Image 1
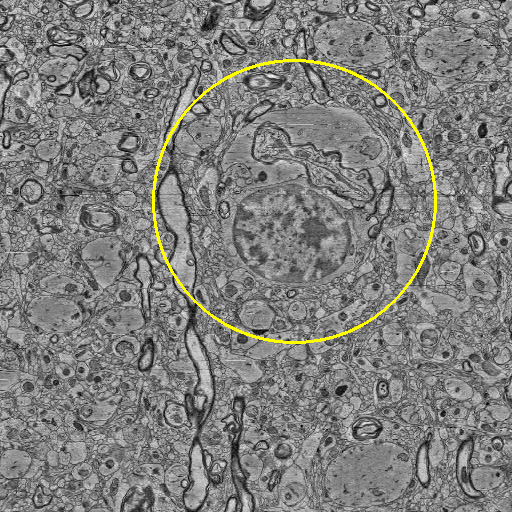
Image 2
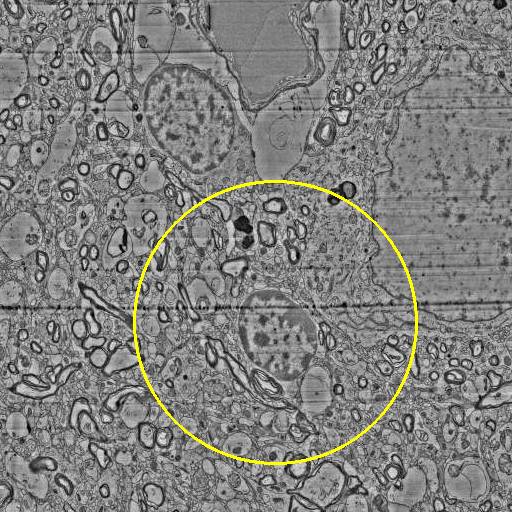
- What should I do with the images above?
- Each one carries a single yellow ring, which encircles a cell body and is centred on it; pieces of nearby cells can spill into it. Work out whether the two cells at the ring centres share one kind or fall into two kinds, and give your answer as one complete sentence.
The ring-centre cells of Image 1 and Image 2 fall into two kinds.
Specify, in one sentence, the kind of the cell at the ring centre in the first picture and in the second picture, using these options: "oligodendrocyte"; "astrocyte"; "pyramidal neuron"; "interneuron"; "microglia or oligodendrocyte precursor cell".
So the first is an oligodendrocyte, the second a microglial cell or oligodendrocyte precursor cell.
